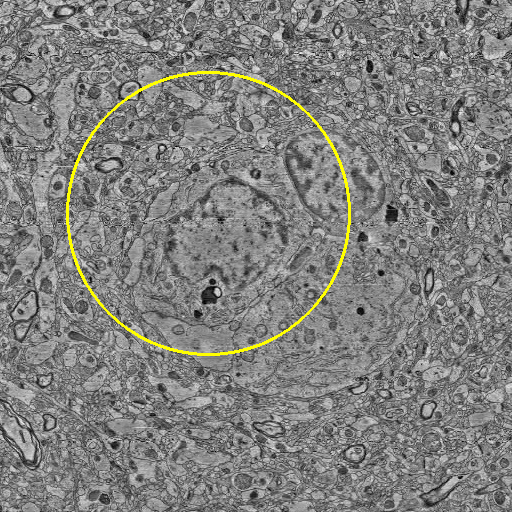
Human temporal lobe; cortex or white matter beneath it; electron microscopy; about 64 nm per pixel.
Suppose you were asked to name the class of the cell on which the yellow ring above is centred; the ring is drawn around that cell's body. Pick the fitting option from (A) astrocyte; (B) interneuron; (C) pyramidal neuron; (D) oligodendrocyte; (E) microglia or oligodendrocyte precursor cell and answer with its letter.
B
